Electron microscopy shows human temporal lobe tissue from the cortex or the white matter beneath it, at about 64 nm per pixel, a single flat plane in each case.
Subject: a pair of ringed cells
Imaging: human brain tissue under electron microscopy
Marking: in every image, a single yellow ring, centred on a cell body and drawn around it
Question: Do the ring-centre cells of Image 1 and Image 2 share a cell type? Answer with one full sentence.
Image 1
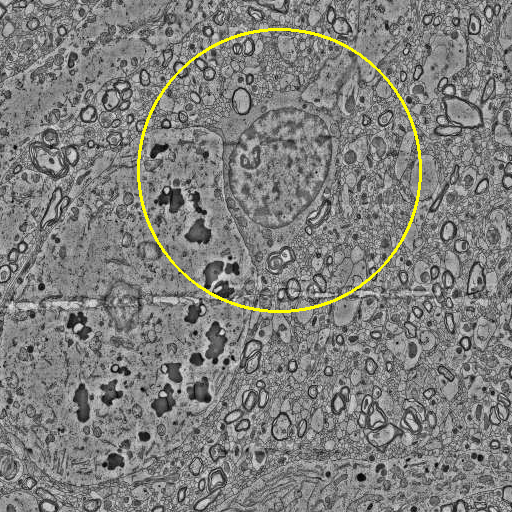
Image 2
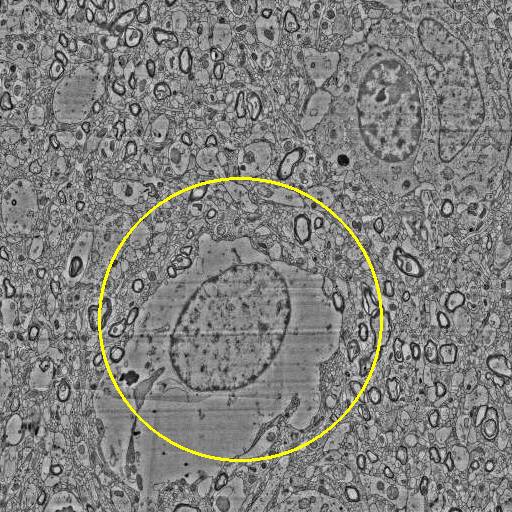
No, at the ring centres in the images sit cells of two separate types.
